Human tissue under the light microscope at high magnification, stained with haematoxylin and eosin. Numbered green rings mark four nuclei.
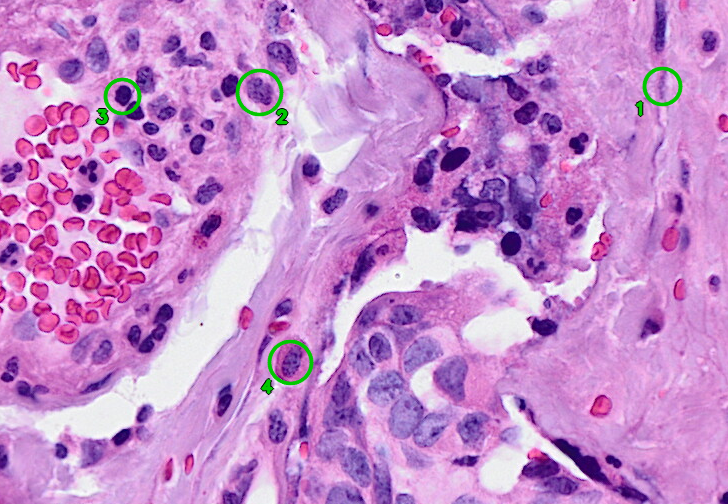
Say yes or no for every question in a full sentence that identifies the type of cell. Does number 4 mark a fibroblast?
No, at number 4 sits a mast cell, not a fibroblast.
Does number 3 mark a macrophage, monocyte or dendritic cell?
No, it is not a macrophage, monocyte or dendritic cell that bears number 3 but a lymphocyte.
